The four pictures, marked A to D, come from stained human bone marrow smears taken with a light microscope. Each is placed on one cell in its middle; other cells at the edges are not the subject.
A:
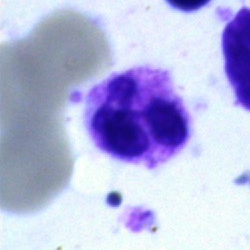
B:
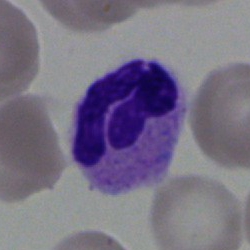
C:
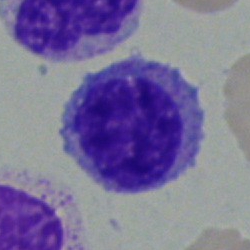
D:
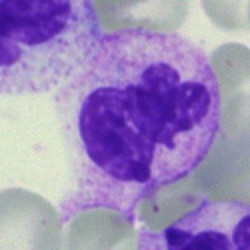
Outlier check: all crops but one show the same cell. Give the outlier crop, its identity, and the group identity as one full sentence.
All the crops show segmented neutrophils, barring crop C, which is a monocyte.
